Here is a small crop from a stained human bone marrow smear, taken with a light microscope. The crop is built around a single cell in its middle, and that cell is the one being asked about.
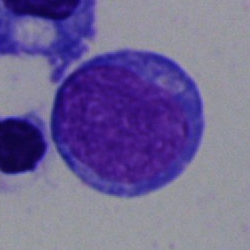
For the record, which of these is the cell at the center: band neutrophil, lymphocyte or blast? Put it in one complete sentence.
Here the cell in the middle is a blast.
